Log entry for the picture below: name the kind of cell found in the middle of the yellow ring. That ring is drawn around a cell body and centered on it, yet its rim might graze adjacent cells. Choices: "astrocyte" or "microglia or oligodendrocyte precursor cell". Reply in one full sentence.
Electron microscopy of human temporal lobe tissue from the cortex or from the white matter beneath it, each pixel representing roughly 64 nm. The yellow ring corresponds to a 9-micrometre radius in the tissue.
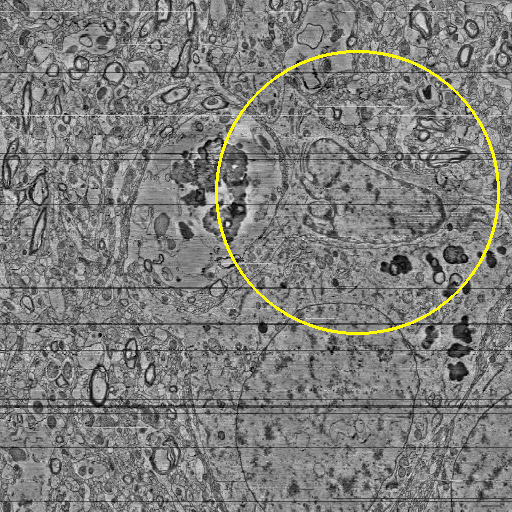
The cell in the middle of the yellow ring in this picture is a microglial cell or oligodendrocyte precursor cell.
